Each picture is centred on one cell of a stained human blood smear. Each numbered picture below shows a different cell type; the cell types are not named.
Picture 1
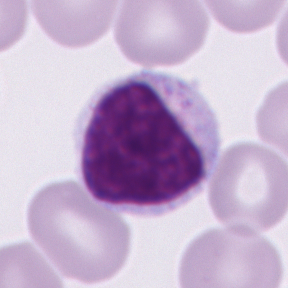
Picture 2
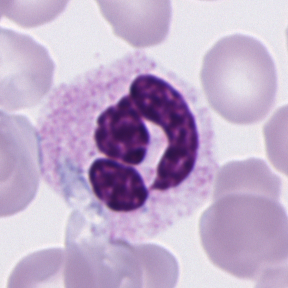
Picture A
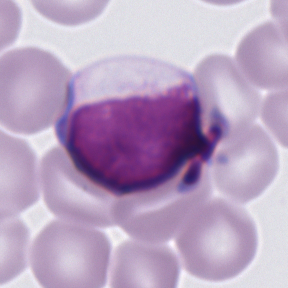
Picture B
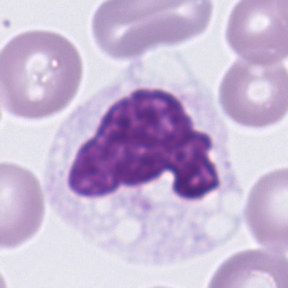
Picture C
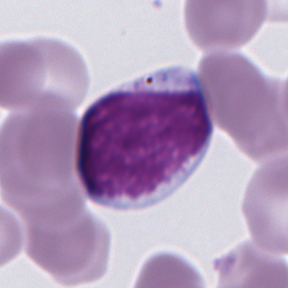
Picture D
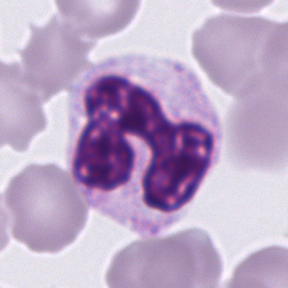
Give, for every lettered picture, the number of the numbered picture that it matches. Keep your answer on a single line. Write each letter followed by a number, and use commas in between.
A 1, B 2, C 1, D 2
